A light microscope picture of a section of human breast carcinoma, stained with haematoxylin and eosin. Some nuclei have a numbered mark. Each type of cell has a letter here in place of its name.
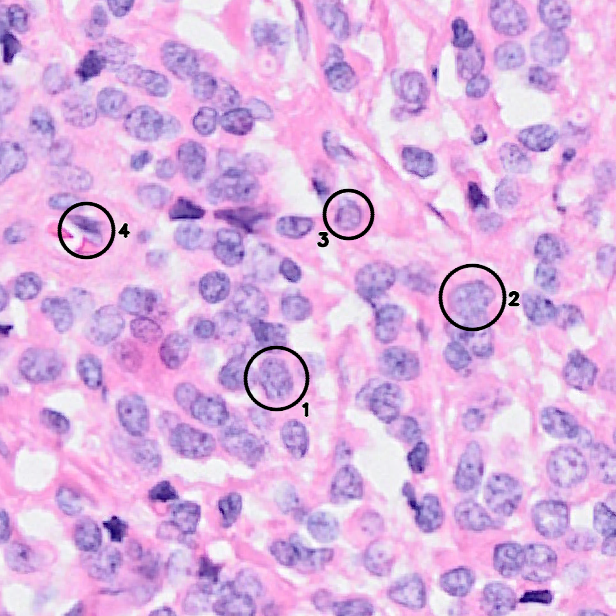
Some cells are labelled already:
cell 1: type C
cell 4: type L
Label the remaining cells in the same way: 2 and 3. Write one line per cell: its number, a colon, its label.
2: type C
3: type C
